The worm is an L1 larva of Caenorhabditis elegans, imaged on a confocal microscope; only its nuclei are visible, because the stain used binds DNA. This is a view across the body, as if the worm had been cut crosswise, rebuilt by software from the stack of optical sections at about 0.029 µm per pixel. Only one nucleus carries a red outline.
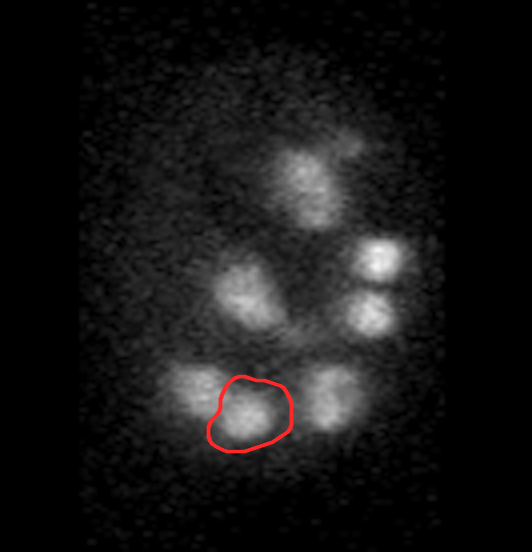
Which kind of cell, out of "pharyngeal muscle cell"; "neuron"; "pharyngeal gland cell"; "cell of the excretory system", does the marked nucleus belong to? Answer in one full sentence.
This is the nucleus of a neuron.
